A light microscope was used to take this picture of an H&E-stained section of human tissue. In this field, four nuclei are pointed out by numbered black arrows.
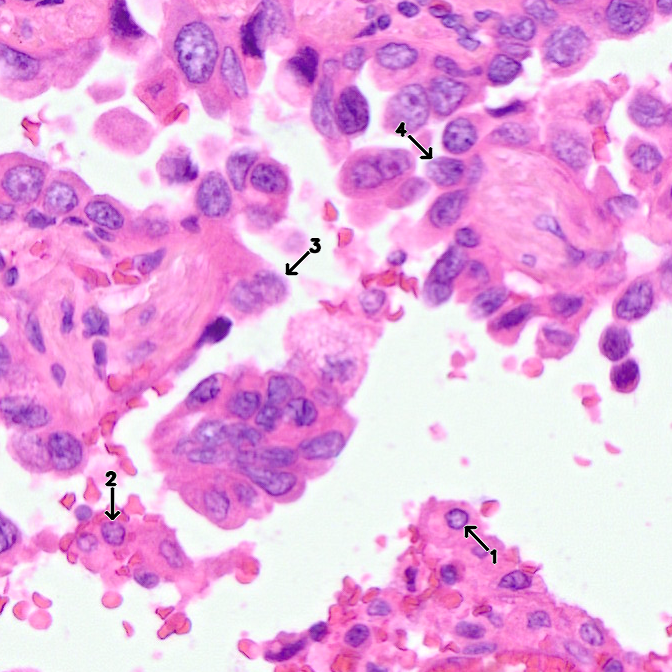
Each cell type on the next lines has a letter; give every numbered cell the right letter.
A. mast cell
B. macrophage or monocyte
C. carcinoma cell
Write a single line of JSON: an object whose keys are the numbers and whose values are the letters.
{"1": "B", "2": "B", "3": "C", "4": "C"}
